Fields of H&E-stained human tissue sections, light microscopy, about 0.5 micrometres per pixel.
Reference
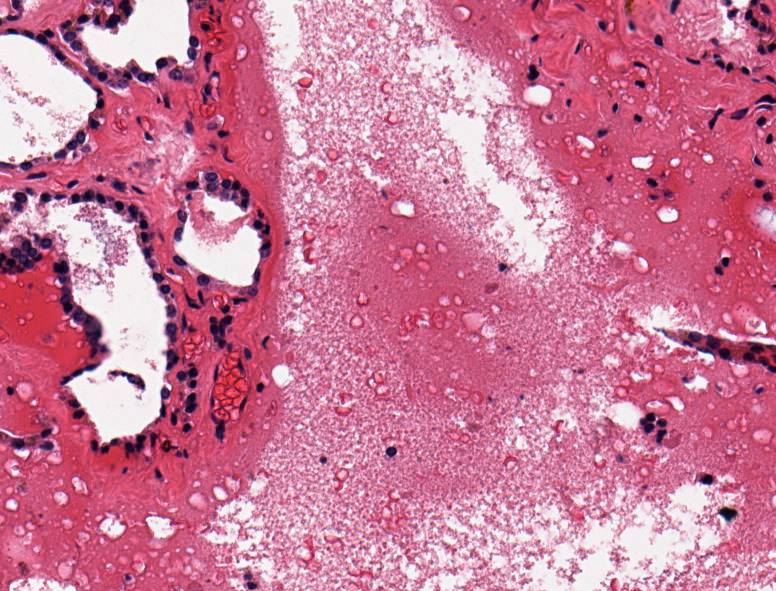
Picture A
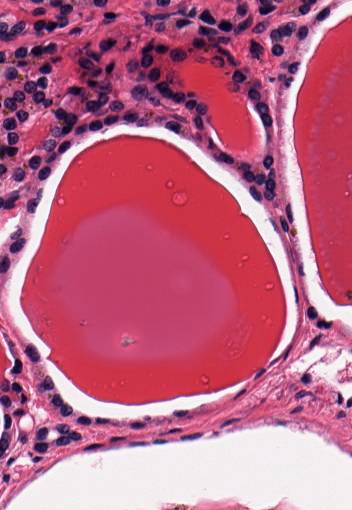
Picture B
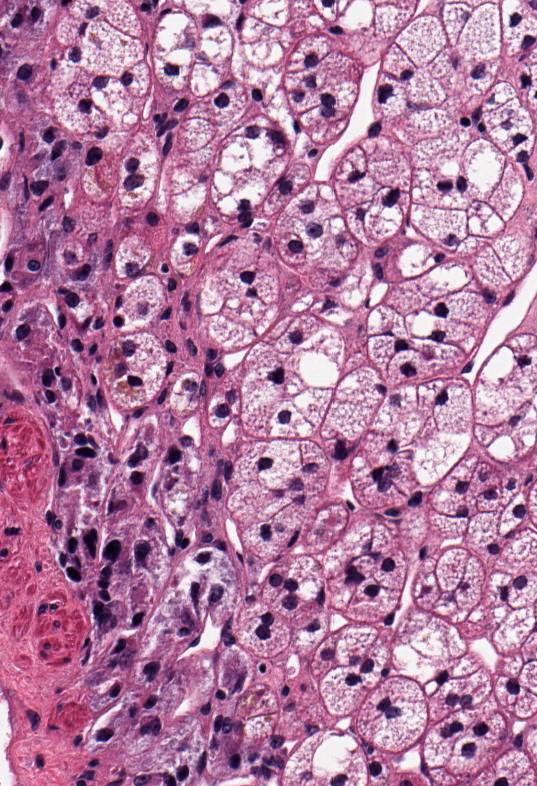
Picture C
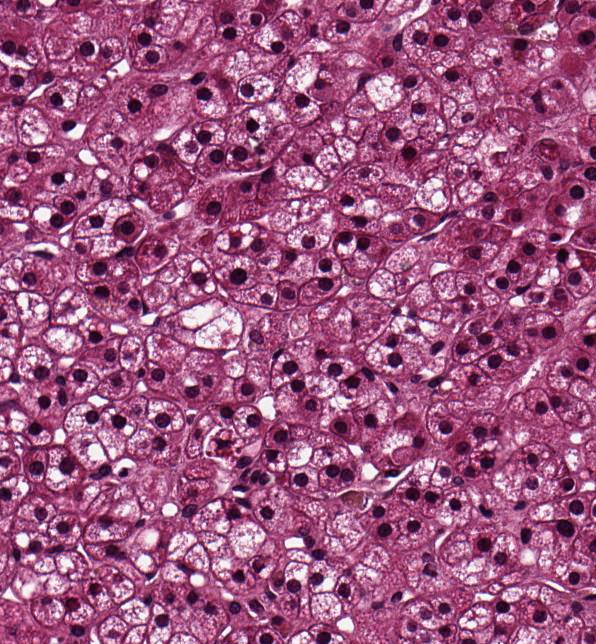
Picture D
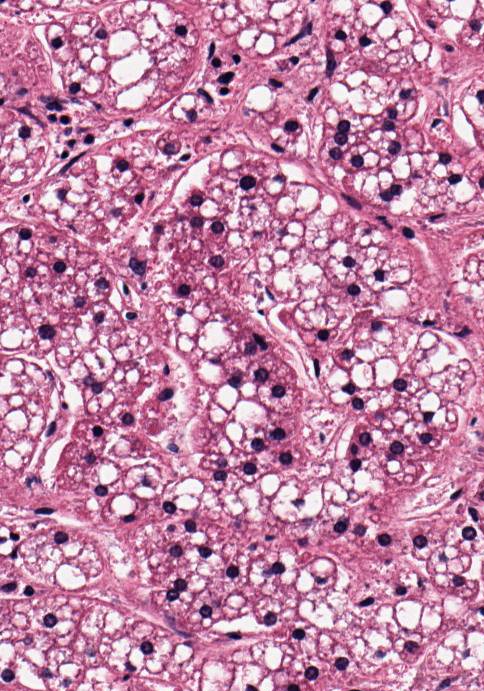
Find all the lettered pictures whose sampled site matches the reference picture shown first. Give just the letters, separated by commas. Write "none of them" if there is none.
A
